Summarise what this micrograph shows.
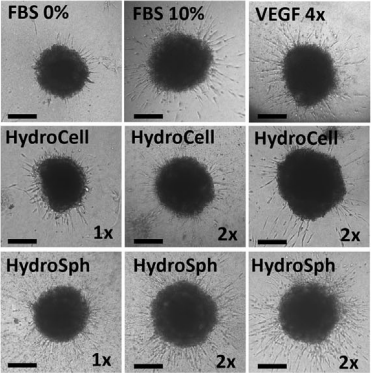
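These are endothelial spheroids, each seen as a dense, dark, roughly round ball of packed cells in the middle of its field. From their edges, fine thin sprouts grow outward into the surrounding pale matrix, like short threads or spokes radiating in all directions. The sprouts are slender, often tapering, and some run for a distance comparable to the spheroid's radius. Their number and length differ between the images: some spheroids carry only a sparse fringe of short sprouts, while others are ringed by many longer ones, giving a bristly halo. Individual cells within the dark core cannot be told apart.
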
